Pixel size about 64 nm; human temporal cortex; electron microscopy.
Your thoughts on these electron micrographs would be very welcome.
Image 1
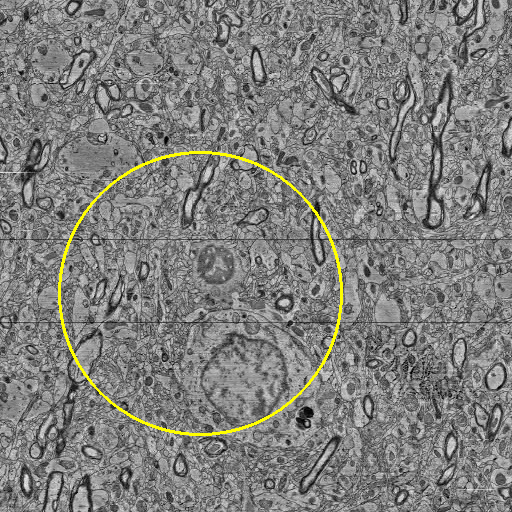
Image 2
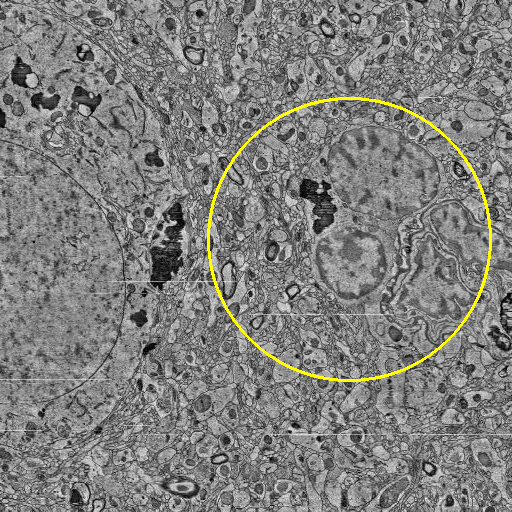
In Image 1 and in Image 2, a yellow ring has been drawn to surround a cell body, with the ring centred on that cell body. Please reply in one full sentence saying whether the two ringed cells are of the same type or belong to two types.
The ringed cells in Image 1 and Image 2 are of the same type.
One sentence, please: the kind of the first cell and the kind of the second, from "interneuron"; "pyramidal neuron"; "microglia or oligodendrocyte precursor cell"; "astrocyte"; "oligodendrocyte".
In each of the two pictures, the ringed cell is an oligodendrocyte.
